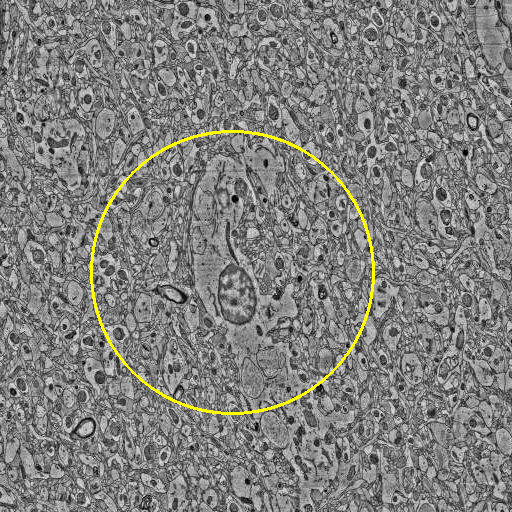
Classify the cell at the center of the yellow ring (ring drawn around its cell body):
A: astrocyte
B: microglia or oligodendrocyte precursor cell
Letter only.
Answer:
A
